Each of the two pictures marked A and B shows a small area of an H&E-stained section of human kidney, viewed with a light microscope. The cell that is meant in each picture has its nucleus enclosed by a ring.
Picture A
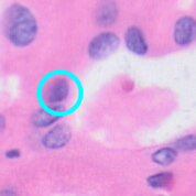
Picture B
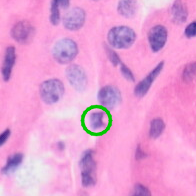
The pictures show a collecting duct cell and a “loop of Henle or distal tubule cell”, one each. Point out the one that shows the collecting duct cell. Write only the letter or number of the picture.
A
